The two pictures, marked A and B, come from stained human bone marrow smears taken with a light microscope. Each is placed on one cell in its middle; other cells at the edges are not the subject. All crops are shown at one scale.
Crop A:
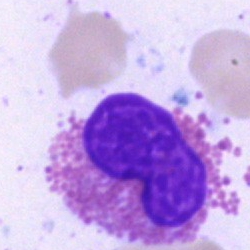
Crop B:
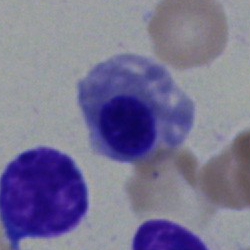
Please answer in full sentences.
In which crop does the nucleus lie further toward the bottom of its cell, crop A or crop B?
Seen within its cell, the nucleus in crop B lies further toward the bottom.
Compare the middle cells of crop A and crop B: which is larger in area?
Larger is the cell in crop A, at roughly 2 times the area of the other.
